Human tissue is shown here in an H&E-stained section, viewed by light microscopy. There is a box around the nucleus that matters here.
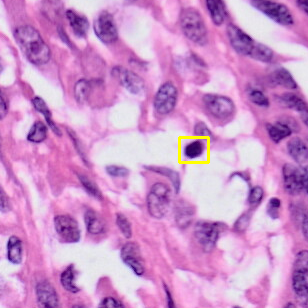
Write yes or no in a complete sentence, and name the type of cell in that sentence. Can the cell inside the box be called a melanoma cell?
No, by cell type the cell inside the box is a lymphocyte, not a melanoma cell.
